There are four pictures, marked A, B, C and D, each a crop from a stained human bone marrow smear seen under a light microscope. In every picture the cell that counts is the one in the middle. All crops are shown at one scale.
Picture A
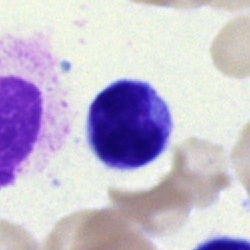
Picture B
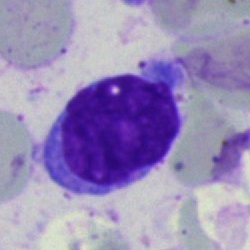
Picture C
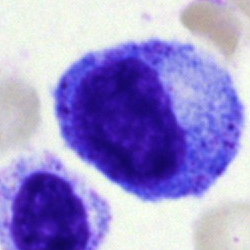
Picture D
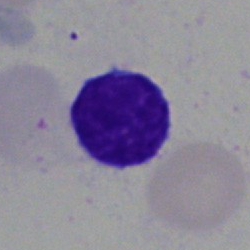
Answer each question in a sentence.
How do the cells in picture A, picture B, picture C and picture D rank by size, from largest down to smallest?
Largest first: C, B, D, A.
